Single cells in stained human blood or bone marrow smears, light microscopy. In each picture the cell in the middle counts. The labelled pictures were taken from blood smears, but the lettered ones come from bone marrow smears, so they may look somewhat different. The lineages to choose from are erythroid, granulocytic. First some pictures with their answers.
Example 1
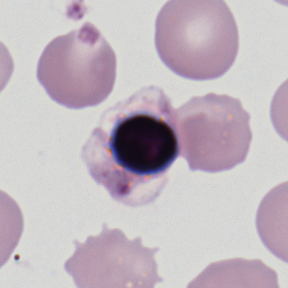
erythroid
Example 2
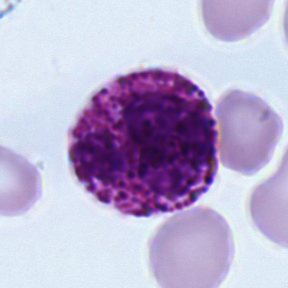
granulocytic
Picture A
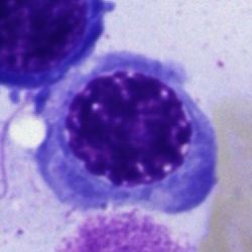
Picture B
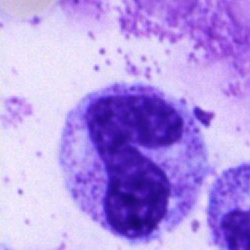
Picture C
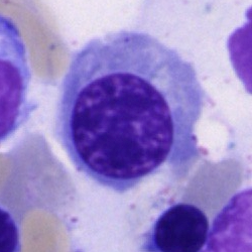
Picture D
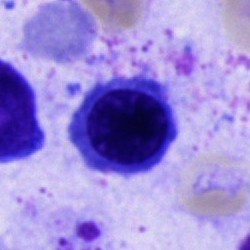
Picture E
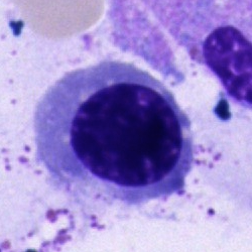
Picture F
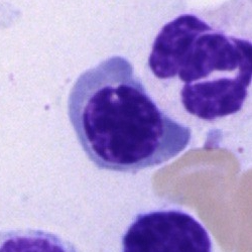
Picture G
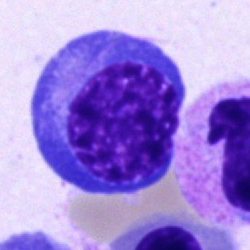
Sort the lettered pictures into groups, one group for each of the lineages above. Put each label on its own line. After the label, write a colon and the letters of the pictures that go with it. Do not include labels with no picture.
erythroid: A, C, D, E, F, G
granulocytic: B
